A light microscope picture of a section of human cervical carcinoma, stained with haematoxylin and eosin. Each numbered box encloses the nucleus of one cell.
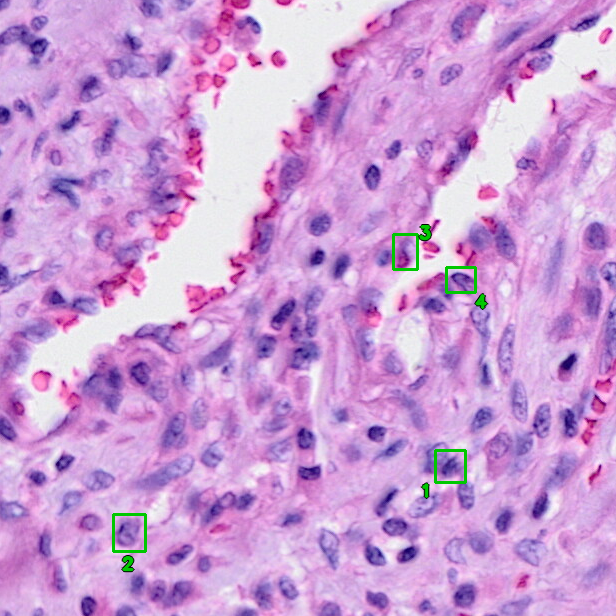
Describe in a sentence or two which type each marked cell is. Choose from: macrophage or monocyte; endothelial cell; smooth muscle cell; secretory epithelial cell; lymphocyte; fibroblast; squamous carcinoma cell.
Cell 1 is a lymphocyte. Cell 2 is a macrophage or monocyte. Cells 3 and 4 are endothelial cells.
